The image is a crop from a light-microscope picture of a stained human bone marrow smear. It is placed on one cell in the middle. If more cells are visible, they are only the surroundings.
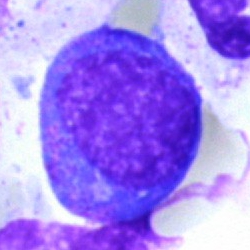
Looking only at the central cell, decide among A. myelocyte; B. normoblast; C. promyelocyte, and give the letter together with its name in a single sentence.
Option C is correct, naming the cell in the middle as a promyelocyte.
